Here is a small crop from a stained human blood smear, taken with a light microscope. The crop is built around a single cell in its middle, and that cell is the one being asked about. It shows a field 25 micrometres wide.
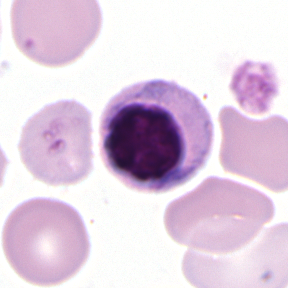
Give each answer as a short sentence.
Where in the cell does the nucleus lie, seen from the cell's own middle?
It is shifted toward the lower left of the cell.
